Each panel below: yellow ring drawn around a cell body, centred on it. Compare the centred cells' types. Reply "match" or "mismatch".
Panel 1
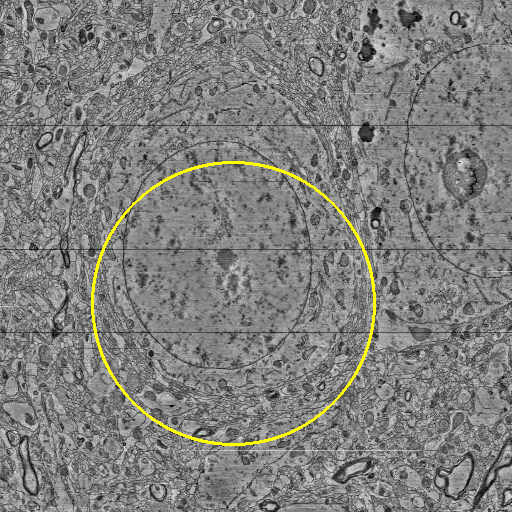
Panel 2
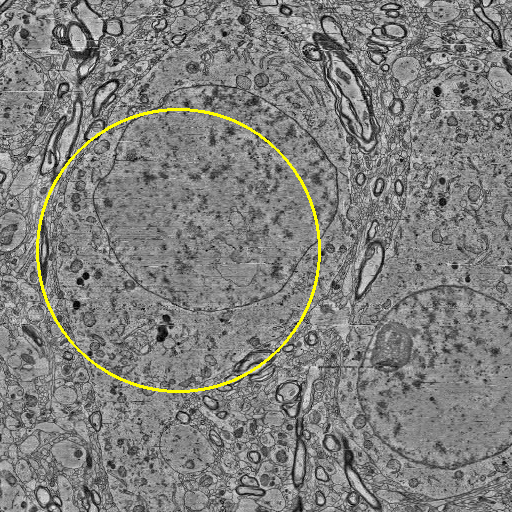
match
